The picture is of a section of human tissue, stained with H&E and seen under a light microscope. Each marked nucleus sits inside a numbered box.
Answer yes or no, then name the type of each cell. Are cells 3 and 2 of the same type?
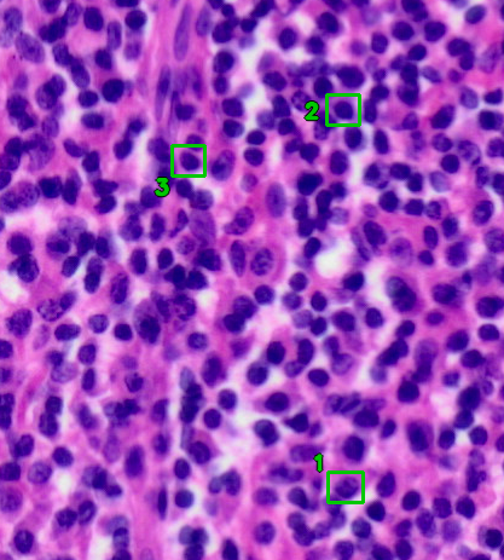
Yes, cells 3 and 2 are both small lymphocytes in this section.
